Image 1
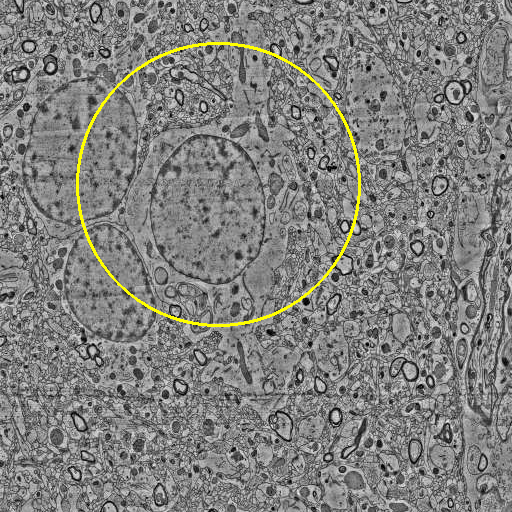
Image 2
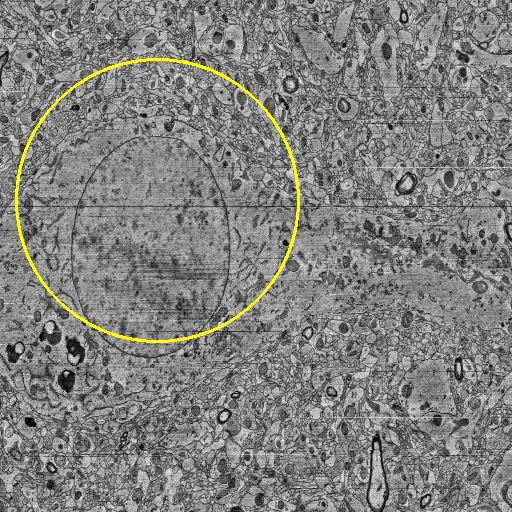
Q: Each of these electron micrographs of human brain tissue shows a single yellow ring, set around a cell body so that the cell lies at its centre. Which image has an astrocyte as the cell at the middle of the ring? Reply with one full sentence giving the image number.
In image 1, the cell lying at the ring's centre is the requested one.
